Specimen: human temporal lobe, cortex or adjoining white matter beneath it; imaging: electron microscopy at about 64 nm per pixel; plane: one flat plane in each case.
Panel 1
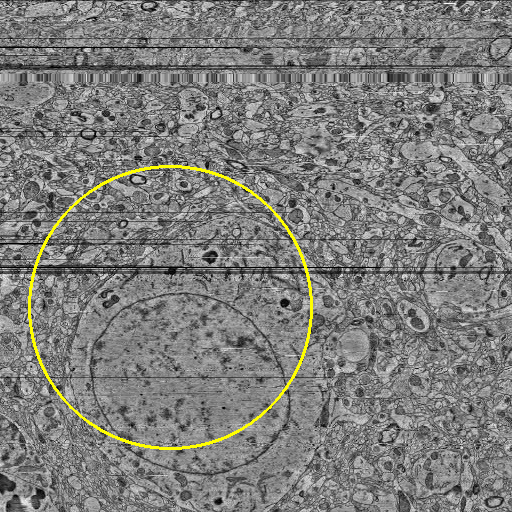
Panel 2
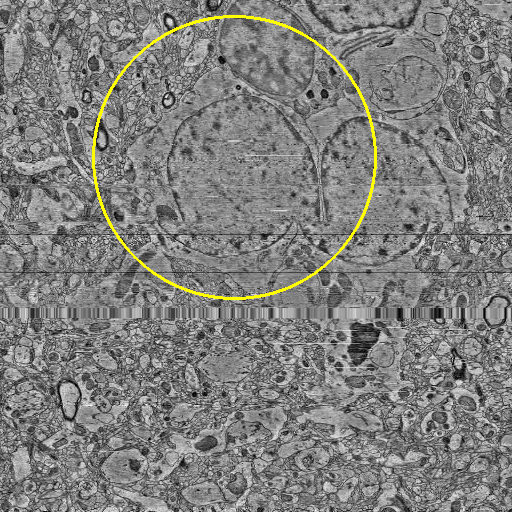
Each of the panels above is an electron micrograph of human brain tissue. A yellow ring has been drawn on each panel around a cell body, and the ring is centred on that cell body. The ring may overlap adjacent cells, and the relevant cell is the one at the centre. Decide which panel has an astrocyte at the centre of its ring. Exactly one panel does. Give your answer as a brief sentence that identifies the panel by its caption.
Panel 2 is the one with it at the centre of the ring.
